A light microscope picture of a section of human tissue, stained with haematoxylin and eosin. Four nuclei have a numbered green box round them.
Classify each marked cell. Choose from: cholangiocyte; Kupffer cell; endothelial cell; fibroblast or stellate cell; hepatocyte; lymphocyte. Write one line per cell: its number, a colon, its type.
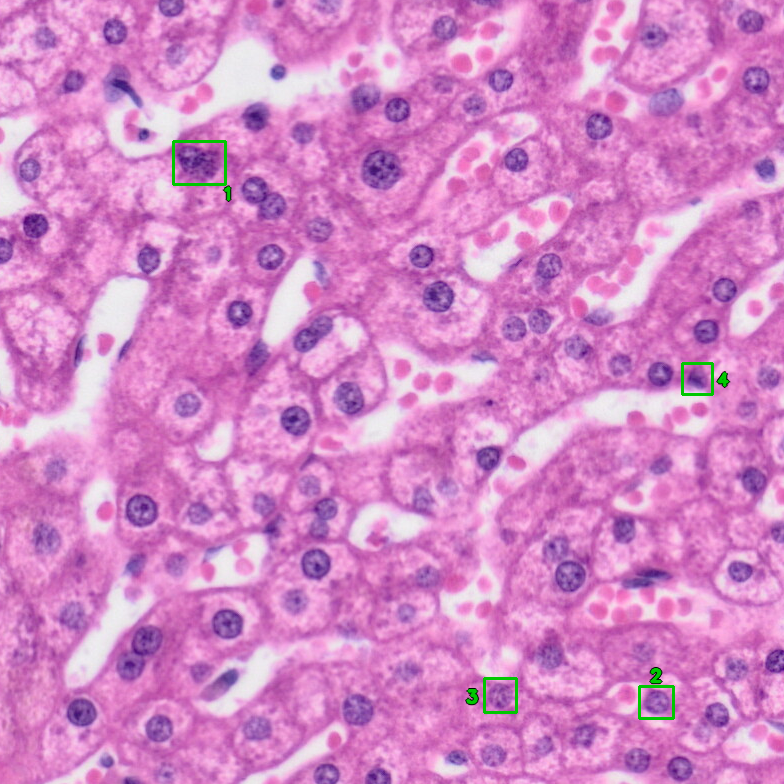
1: hepatocyte
2: hepatocyte
3: hepatocyte
4: fibroblast or stellate cell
